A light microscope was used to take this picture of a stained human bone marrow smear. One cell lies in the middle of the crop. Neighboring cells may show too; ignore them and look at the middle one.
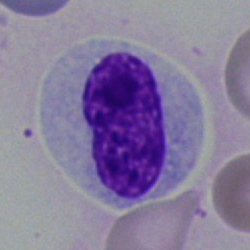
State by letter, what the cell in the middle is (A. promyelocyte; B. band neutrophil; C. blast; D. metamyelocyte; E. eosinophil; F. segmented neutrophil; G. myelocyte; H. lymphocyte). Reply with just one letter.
D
